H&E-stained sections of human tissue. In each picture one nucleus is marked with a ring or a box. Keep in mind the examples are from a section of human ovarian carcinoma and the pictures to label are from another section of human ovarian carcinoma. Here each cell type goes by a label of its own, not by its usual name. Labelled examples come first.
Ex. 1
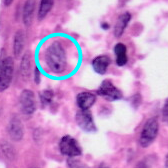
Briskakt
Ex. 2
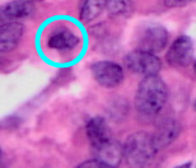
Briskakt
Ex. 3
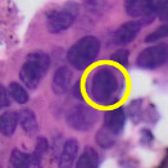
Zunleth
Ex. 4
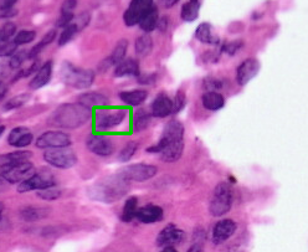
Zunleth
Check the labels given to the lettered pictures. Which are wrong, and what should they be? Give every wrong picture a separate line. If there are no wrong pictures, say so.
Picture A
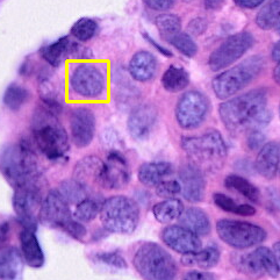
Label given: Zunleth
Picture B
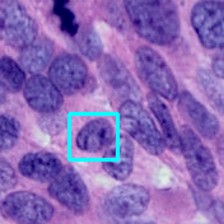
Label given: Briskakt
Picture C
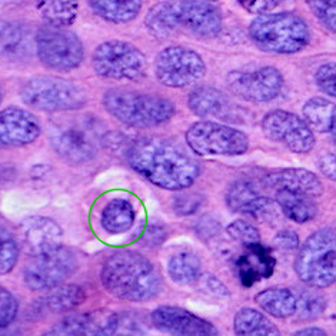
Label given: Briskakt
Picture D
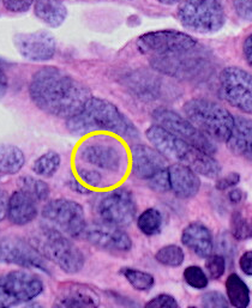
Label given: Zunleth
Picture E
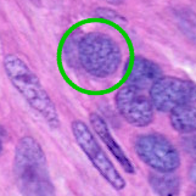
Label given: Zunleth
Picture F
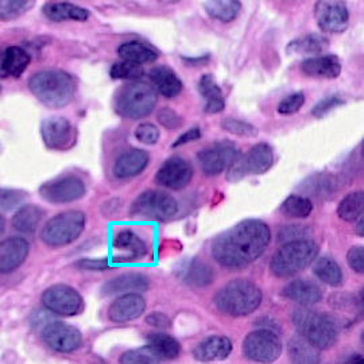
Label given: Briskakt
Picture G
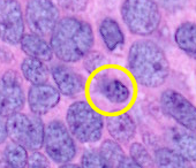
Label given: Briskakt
Nothing to fix; every label fits.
